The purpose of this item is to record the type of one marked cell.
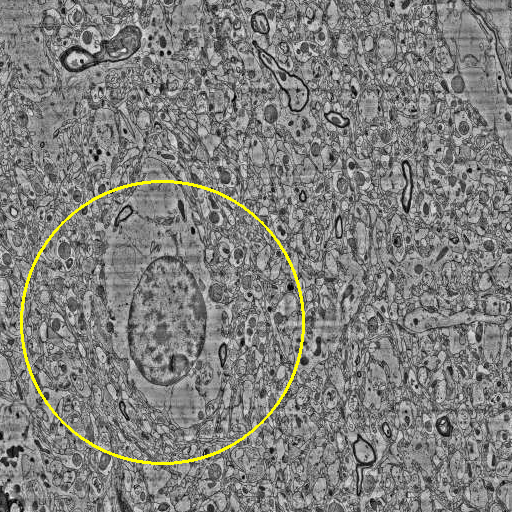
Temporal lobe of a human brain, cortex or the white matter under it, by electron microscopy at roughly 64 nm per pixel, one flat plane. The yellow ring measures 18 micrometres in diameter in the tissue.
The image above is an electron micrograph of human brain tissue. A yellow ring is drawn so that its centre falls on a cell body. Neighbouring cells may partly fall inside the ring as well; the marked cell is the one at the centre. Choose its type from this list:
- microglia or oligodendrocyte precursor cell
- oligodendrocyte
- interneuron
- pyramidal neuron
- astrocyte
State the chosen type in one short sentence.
What the ring marks here is an astrocyte.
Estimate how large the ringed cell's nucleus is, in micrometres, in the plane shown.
About 8 by 5 micrometres in this plane.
